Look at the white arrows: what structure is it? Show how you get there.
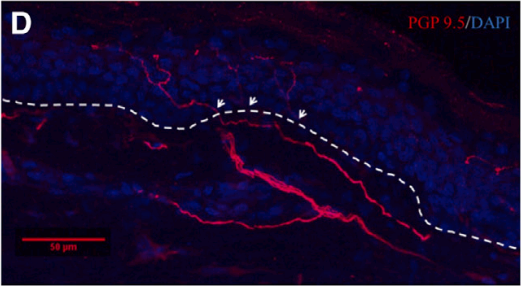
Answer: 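Thin, beaded red threads run along below the dashed line and turn upward across it. The arrows sit on the dashed line where red threads pass into the densely nucleated upper layer. On this evidence: nerve fibers.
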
